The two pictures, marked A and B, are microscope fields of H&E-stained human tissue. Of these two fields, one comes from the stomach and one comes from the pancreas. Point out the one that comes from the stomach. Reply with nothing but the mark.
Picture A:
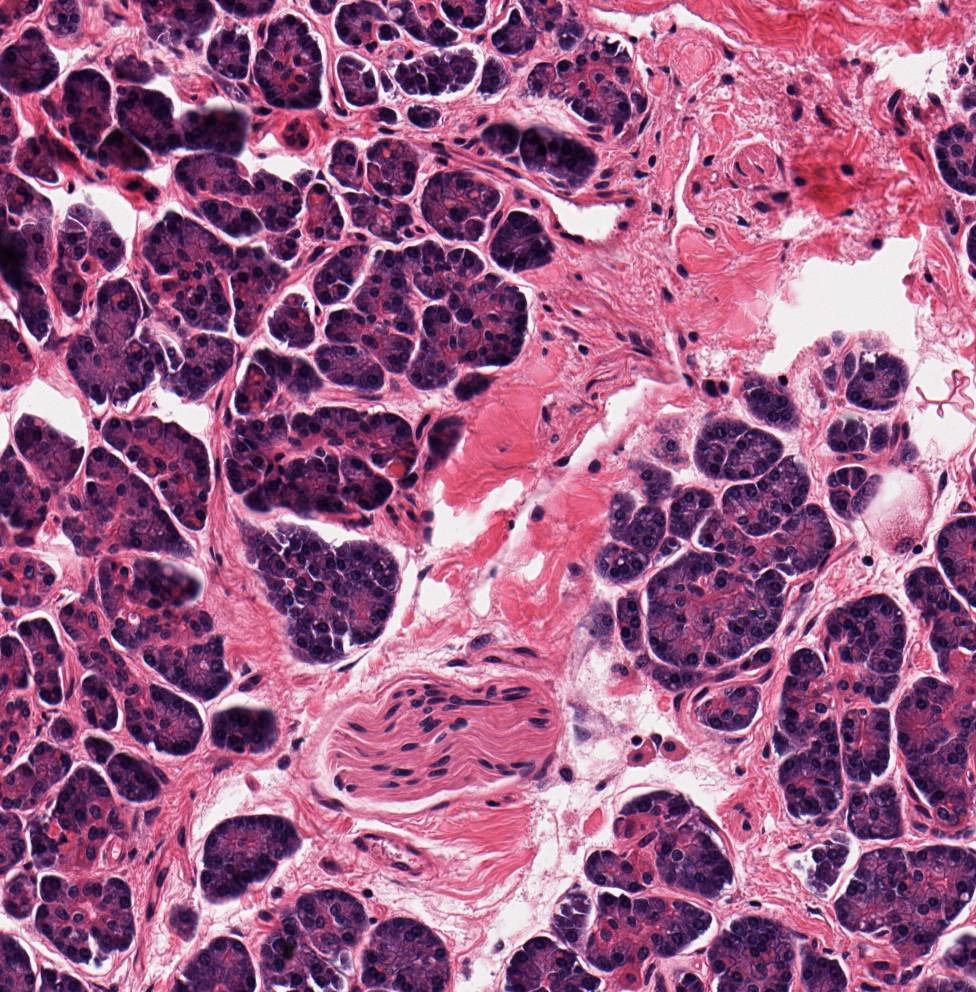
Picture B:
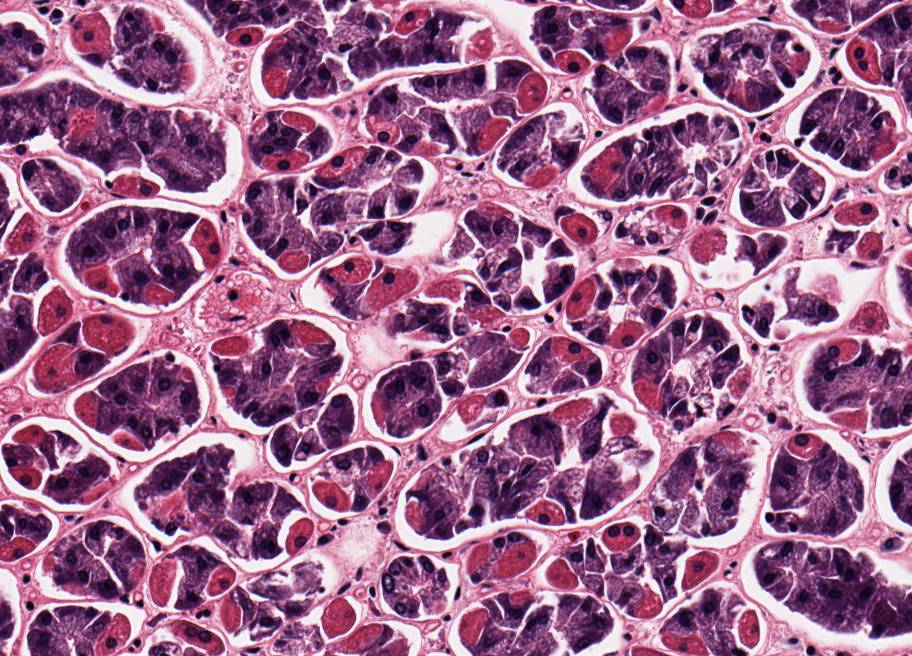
B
